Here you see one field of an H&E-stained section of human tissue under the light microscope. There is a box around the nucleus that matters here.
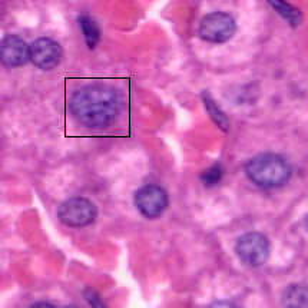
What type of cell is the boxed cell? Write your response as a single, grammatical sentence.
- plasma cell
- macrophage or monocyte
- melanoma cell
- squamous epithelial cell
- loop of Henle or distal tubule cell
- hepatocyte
Speaking plainly, the boxed cell is nothing other than a hepatocyte.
